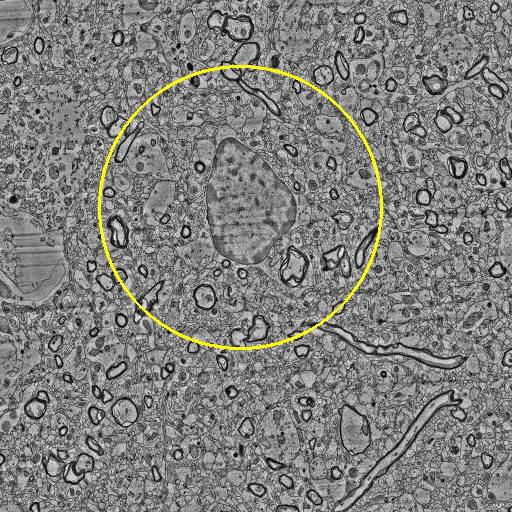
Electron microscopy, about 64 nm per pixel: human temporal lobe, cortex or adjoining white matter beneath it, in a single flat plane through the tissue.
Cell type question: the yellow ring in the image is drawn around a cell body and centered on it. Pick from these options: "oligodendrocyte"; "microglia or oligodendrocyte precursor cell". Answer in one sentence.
The ringed cell at the center is a microglial cell or oligodendrocyte precursor cell.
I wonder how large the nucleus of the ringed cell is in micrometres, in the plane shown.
In this plane, approximately 8 by 6 micrometers.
